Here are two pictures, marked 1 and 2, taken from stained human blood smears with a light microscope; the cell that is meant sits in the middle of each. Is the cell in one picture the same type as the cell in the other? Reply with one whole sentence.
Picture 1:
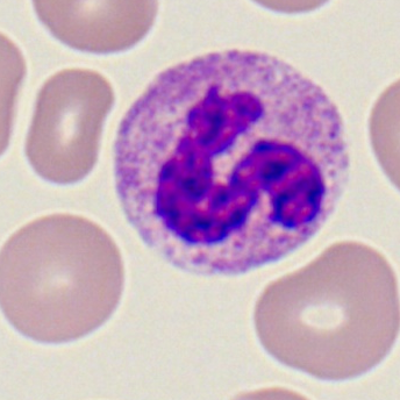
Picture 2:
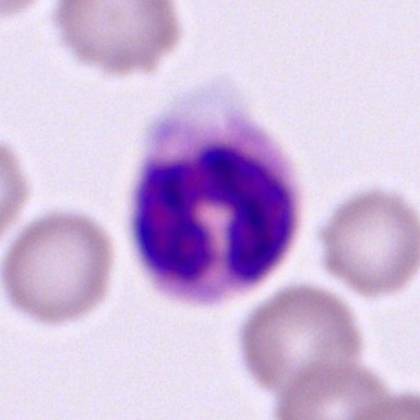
Yes, they are the same type: both are segmented neutrophils.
